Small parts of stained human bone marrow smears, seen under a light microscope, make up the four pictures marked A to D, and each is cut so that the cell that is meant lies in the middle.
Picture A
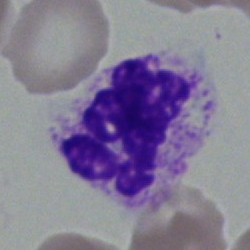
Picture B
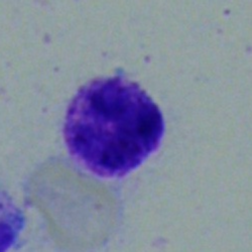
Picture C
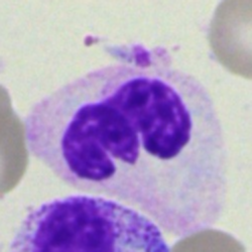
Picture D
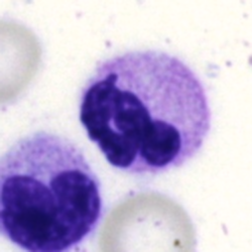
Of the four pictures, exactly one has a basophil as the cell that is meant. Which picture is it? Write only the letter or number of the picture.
B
